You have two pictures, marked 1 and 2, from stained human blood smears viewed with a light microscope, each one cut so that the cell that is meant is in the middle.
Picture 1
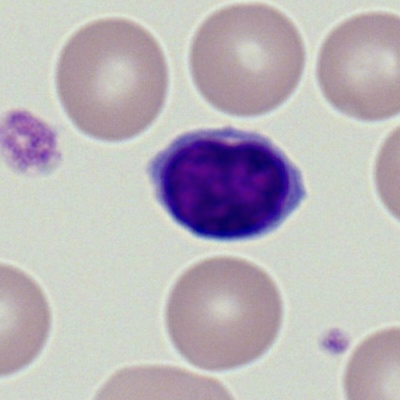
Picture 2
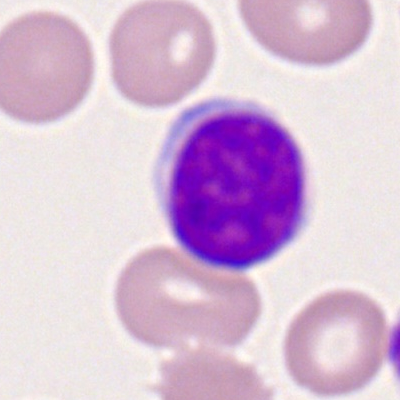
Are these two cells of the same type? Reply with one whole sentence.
Yes, both are lymphocytes.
